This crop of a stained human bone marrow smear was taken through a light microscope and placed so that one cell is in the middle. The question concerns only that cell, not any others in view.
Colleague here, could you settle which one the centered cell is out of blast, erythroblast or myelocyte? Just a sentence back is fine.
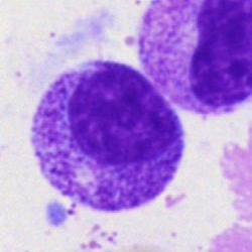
The cell at the middle of the crop is recognized as a myelocyte.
